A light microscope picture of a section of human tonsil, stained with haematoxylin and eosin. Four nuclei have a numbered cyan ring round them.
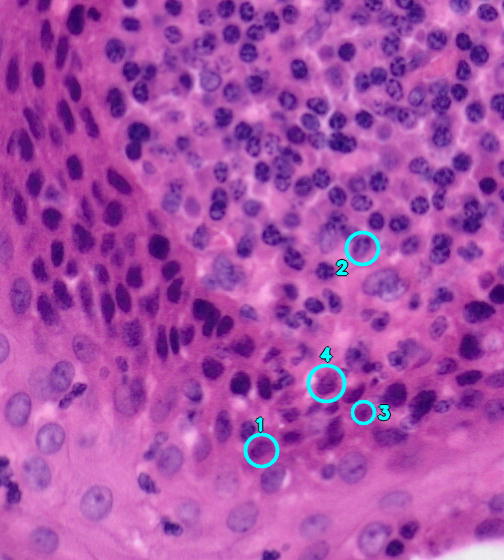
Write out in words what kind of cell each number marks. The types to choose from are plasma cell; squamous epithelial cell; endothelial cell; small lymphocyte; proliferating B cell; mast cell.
Cell 1 is a squamous epithelial cell, cell 2 is a plasma cell, cell 3 is a squamous epithelial cell and cell 4 is a squamous epithelial cell.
